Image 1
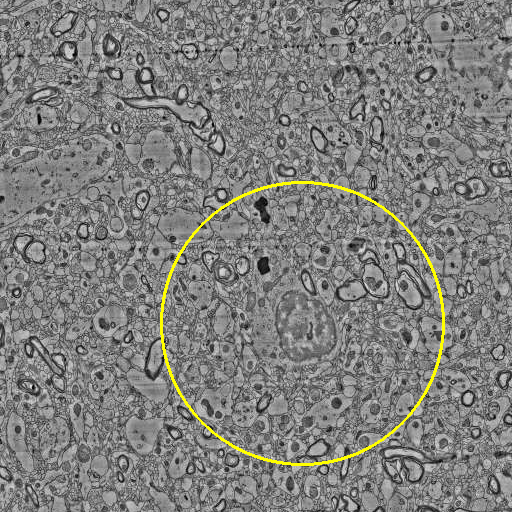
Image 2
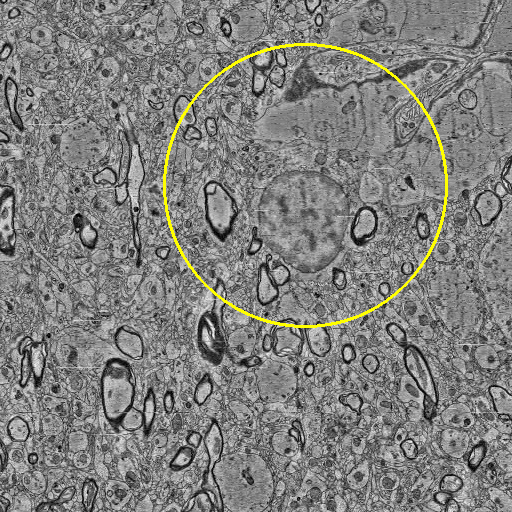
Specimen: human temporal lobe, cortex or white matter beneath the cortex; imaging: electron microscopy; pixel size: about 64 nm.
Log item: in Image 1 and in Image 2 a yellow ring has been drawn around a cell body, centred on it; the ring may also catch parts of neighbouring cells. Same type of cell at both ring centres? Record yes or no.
yes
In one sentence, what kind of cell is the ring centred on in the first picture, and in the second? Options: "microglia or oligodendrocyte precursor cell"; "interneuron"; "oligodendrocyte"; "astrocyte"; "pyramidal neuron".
The first and the second cell are each an oligodendrocyte.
